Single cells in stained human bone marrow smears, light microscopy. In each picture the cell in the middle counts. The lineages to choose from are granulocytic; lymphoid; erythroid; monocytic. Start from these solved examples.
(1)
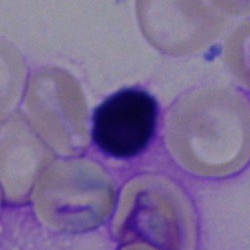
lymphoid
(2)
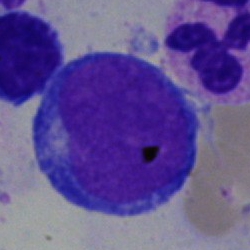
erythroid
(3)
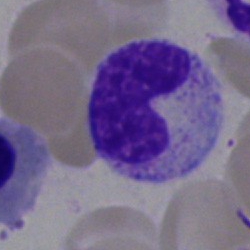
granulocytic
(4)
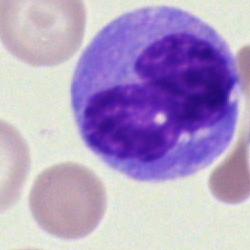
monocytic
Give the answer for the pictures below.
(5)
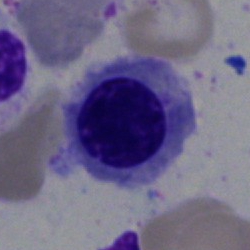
erythroid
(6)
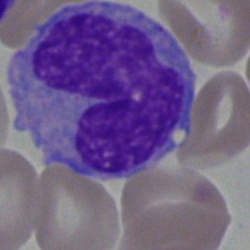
monocytic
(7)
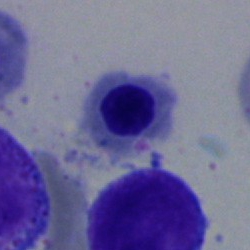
erythroid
